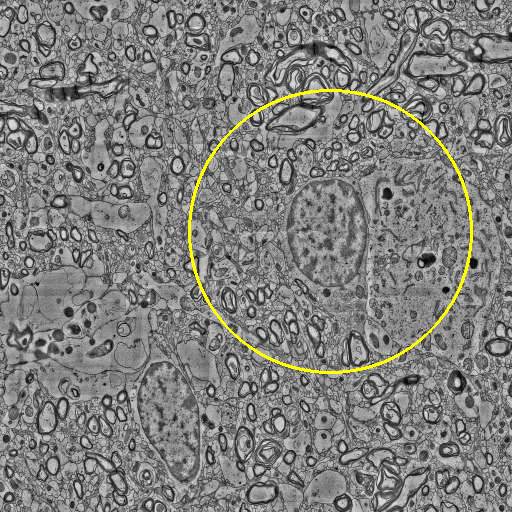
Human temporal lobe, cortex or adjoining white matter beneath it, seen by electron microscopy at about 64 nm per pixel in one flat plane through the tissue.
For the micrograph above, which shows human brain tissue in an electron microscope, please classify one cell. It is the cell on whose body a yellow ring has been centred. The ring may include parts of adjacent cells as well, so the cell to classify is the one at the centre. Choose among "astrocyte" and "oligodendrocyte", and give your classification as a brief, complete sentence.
I classify this cell as an oligodendrocyte.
